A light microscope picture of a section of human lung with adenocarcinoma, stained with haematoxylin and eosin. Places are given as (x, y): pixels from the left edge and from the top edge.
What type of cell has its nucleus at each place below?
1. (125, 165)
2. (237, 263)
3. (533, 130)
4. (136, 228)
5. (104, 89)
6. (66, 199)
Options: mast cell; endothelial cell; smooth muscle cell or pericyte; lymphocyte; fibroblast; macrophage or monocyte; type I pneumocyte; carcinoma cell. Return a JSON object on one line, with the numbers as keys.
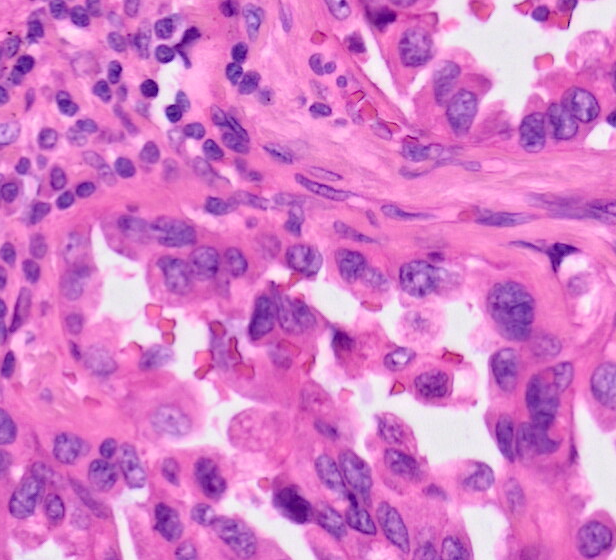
{"1": "lymphocyte", "2": "carcinoma cell", "3": "carcinoma cell", "4": "carcinoma cell", "5": "lymphocyte", "6": "lymphocyte"}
